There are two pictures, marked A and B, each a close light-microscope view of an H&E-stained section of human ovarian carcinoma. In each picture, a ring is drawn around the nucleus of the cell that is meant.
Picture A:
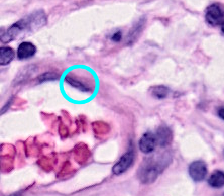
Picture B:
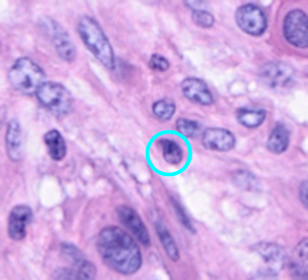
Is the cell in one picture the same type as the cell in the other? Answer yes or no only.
no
